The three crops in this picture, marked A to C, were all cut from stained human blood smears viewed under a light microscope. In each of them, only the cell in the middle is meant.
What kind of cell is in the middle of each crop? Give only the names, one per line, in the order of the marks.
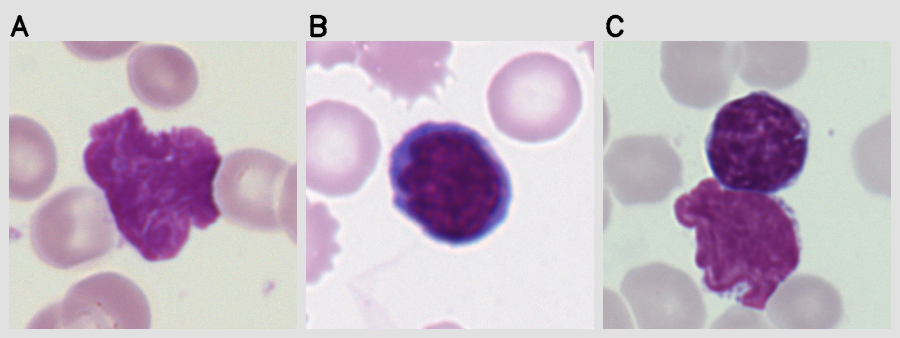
smudge cell
typical lymphocyte
myeloblast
